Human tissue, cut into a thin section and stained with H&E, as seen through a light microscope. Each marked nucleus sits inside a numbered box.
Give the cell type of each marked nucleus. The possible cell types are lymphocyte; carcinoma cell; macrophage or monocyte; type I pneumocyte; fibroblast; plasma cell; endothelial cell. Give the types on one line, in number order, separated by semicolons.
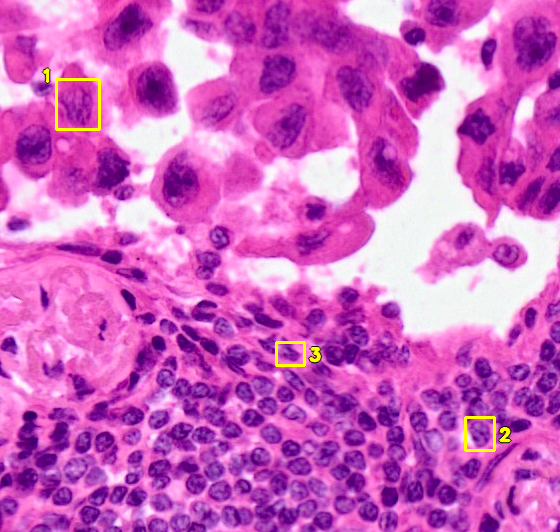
carcinoma cell; lymphocyte; lymphocyte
